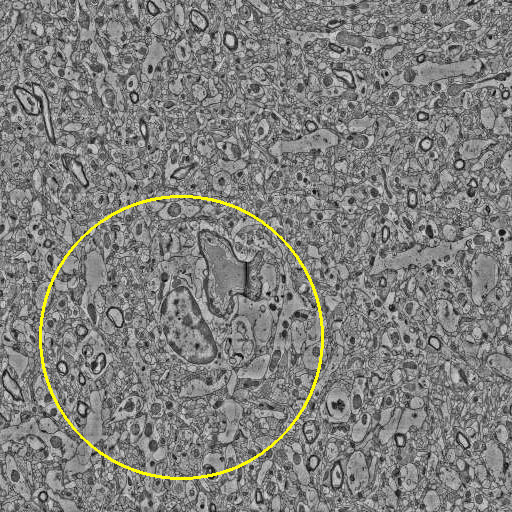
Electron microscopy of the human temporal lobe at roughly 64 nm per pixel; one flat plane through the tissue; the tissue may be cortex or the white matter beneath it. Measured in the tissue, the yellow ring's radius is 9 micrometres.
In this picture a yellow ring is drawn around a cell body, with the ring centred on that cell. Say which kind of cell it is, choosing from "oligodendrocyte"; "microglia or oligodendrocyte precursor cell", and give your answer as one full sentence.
Here it is a microglial cell or oligodendrocyte precursor cell that sits at the centre of the drawn yellow ring.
